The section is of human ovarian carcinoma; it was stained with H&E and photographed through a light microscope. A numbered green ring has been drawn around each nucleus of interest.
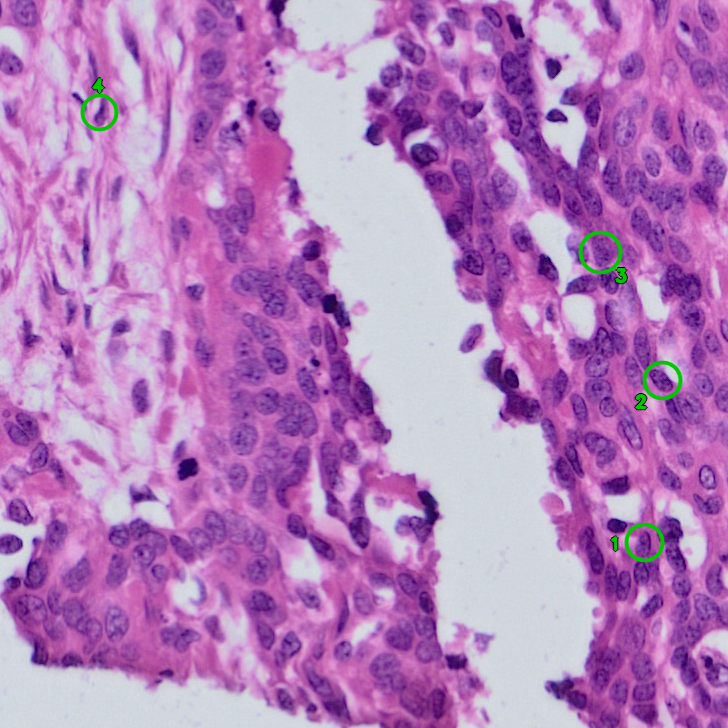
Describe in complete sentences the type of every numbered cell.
Cells 1, 2 and 3 are carcinoma cells. Cell 4 is a fibroblast.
